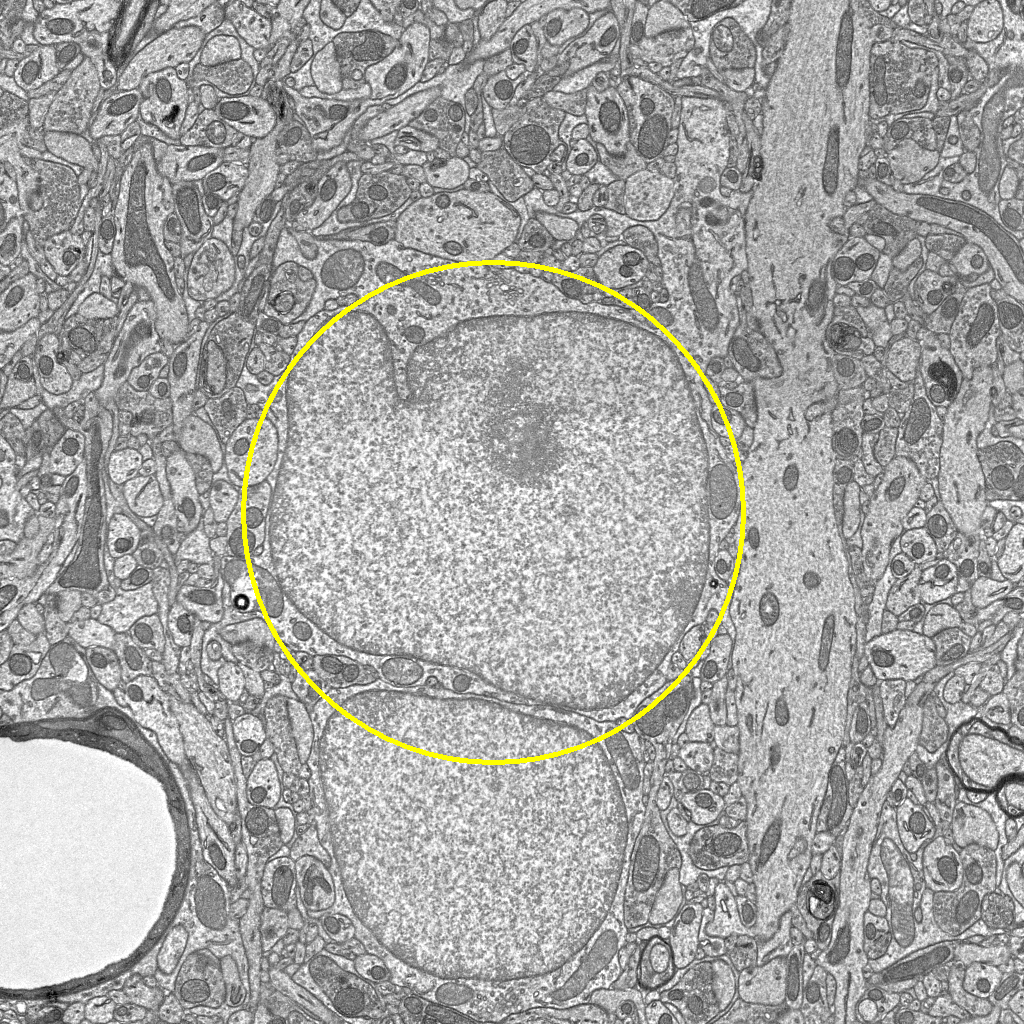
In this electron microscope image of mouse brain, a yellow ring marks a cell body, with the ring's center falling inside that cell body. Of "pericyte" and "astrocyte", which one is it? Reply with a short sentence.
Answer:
It is an astrocyte at the center of the ring.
